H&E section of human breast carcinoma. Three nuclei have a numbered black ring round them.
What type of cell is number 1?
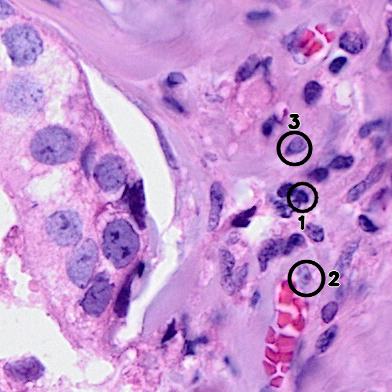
lymphocyte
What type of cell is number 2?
endothelial cell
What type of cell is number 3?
lymphocyte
